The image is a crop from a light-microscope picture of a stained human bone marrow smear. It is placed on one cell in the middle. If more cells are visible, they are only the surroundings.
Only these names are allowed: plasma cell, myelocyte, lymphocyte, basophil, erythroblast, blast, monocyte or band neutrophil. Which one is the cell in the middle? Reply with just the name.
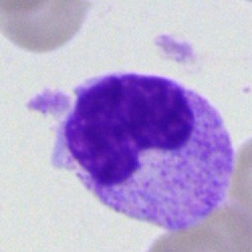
band neutrophil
